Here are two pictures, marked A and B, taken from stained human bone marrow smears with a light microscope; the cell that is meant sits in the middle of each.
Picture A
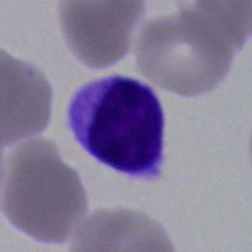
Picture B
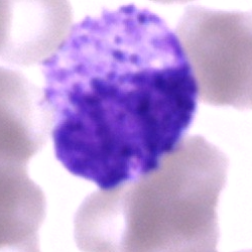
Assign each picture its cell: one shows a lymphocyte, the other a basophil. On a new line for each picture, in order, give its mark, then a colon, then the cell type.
A: lymphocyte
B: basophil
